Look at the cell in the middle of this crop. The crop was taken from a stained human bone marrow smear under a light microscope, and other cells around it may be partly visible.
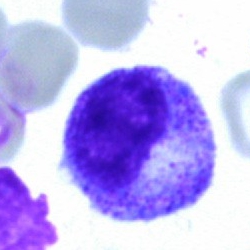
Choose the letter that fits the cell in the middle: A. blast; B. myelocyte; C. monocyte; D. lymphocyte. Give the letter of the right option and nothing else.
B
